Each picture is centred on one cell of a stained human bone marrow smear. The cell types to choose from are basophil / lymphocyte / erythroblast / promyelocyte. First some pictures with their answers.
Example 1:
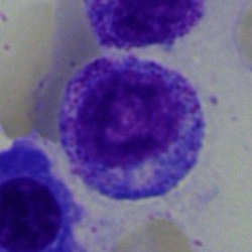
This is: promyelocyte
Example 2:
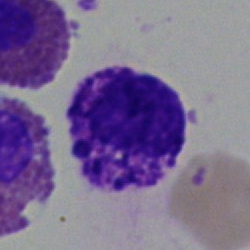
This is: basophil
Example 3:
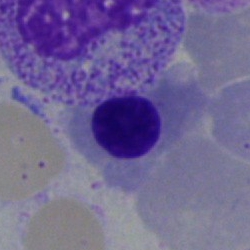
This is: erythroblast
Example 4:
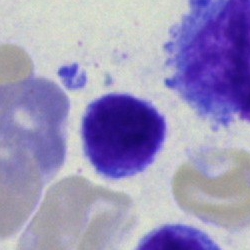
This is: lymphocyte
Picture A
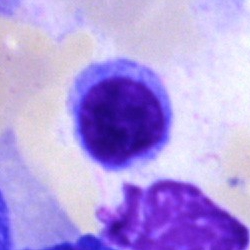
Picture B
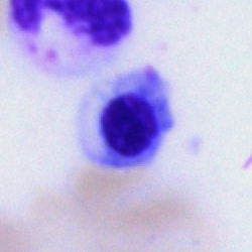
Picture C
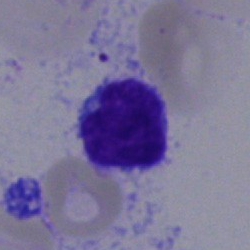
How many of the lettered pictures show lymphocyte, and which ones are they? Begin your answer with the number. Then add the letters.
2, namely A, C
